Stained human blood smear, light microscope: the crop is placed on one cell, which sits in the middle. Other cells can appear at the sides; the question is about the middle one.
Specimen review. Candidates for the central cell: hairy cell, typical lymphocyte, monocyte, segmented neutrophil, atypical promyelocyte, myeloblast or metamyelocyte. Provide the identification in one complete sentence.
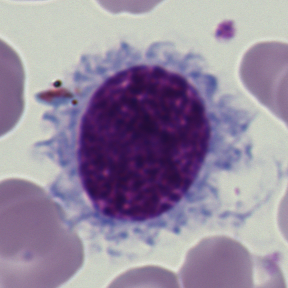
The cell in the middle of this crop is a hairy cell.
